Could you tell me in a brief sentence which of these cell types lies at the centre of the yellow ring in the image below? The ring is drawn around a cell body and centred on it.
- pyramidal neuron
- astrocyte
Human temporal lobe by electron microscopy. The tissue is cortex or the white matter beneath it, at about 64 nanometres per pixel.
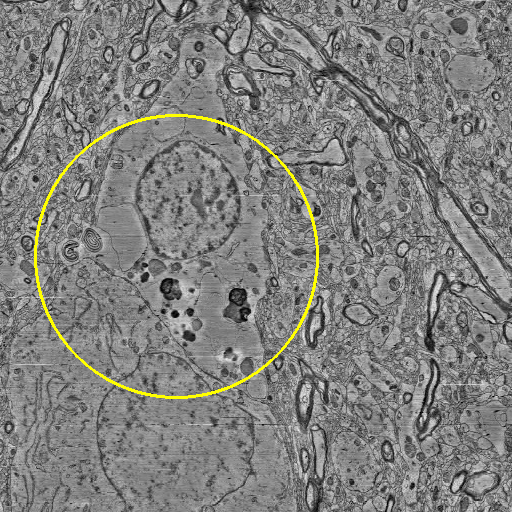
The cell centred in the ring is an astrocyte.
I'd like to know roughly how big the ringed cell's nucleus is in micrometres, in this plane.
The nucleus is approximately 8 micrometers long by 7 micrometers wide in this plane.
